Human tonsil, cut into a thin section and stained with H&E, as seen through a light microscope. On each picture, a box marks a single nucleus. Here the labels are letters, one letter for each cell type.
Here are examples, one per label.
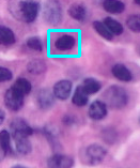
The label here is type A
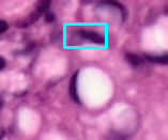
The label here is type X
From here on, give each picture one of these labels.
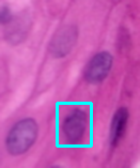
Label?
type X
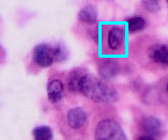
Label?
type A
